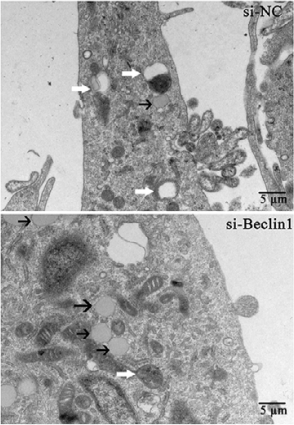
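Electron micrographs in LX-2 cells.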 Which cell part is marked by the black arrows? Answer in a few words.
lipid droplets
